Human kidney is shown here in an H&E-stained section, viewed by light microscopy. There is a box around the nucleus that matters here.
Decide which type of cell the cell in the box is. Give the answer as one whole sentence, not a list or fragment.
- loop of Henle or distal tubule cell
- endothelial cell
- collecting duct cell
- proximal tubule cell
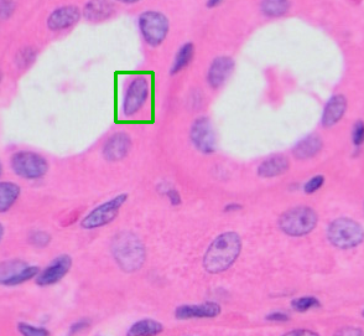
Assigned to a cell type, the cell in the box is a loop of Henle or distal tubule cell.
